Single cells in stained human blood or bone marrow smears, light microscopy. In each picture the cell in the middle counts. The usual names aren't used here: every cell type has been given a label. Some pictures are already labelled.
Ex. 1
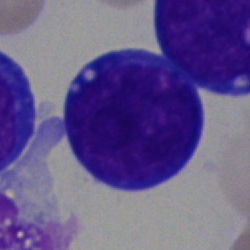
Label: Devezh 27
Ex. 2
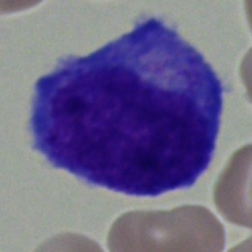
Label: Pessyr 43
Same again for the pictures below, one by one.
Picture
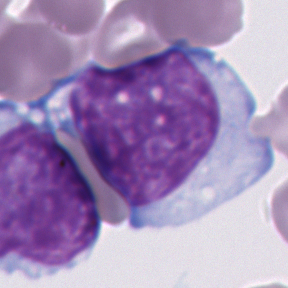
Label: Devezh 27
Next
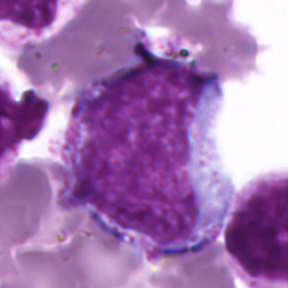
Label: Pessyr 43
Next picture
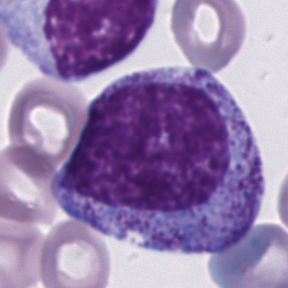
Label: Pessyr 43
